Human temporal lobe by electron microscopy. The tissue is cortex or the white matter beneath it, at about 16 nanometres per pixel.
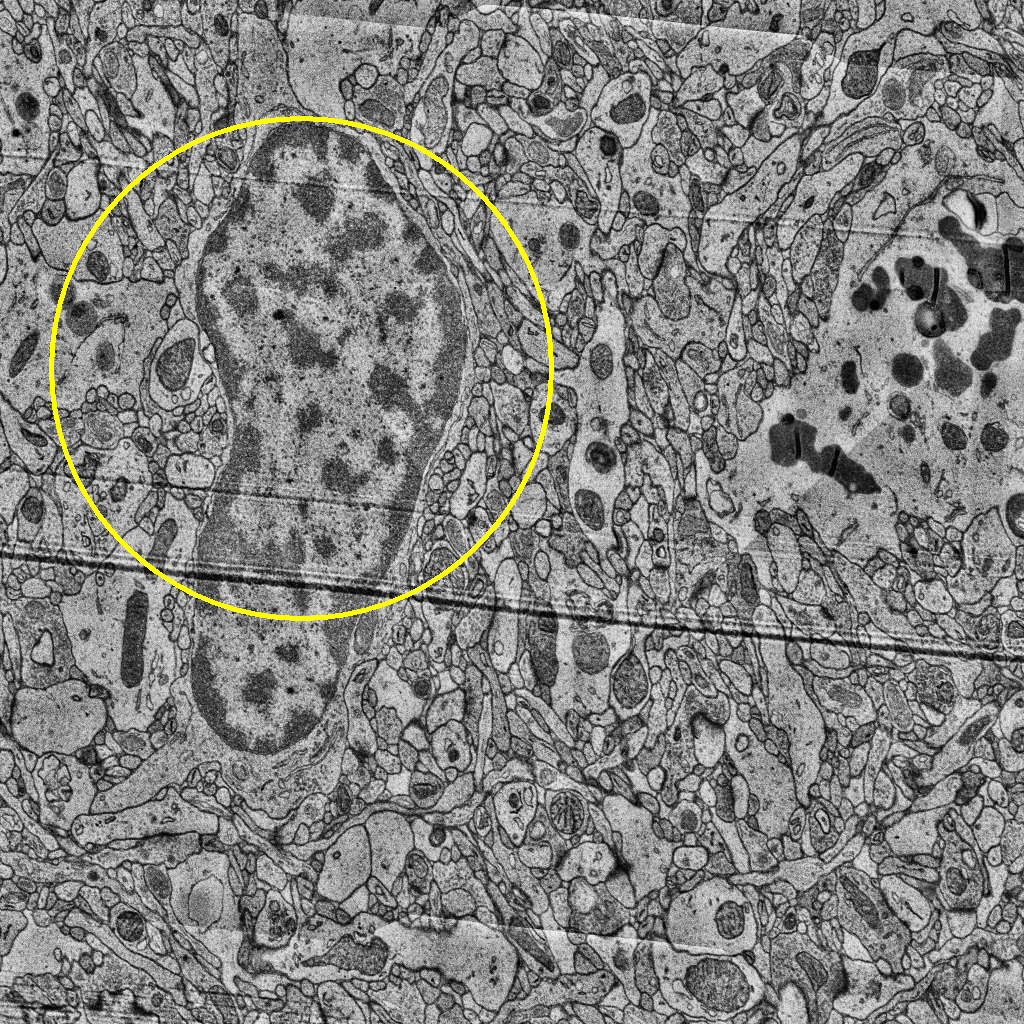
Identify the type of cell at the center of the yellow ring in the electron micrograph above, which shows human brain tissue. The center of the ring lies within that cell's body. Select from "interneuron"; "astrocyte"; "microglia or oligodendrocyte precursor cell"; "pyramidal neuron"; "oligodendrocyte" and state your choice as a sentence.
The center of the yellow ring lies in the body of a microglial cell or oligodendrocyte precursor cell.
